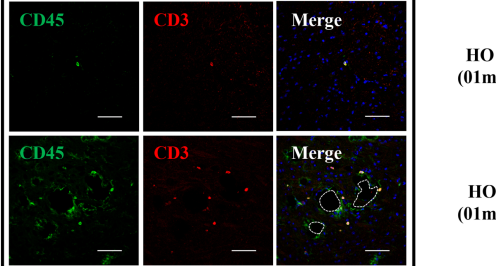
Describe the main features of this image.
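In the upper row only a single such cell stands out among evenly spread nuclei. In the lower row several small red and green cells are scattered through the field. Irregular patches of diffuse green signal gather around dark areas that are outlined by dashed white lines. These outlined areas contain few nuclei, and the labelled small cells lie near their borders.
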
